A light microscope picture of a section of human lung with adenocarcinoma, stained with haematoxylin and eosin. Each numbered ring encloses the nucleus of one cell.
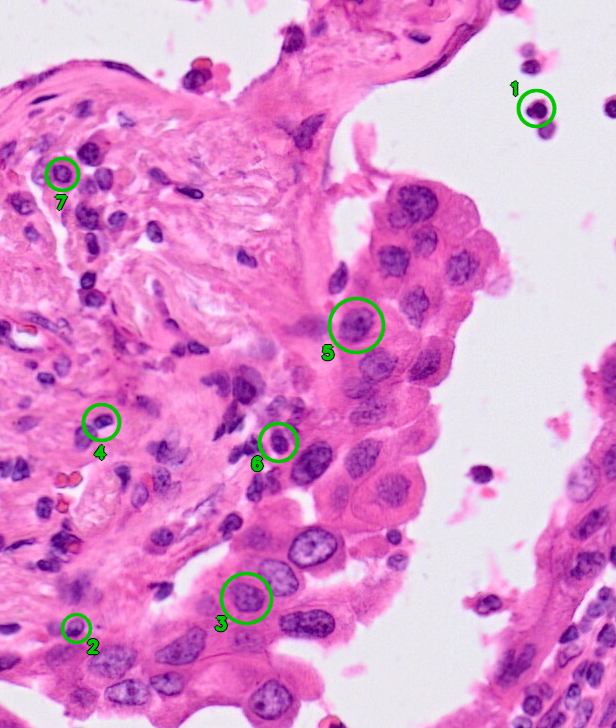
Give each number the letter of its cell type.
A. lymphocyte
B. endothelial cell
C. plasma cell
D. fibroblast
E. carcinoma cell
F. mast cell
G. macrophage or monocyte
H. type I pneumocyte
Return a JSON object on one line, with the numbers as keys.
{"1": "A", "2": "A", "3": "E", "4": "A", "5": "E", "6": "A", "7": "C"}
